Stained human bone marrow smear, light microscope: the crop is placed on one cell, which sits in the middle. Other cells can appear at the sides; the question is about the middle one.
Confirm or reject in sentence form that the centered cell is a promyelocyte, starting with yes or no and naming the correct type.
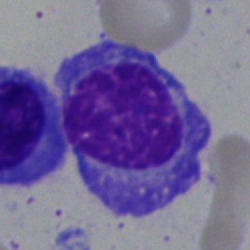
No, the cell in the middle of the crop counts as a plasma cell and not as a promyelocyte.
